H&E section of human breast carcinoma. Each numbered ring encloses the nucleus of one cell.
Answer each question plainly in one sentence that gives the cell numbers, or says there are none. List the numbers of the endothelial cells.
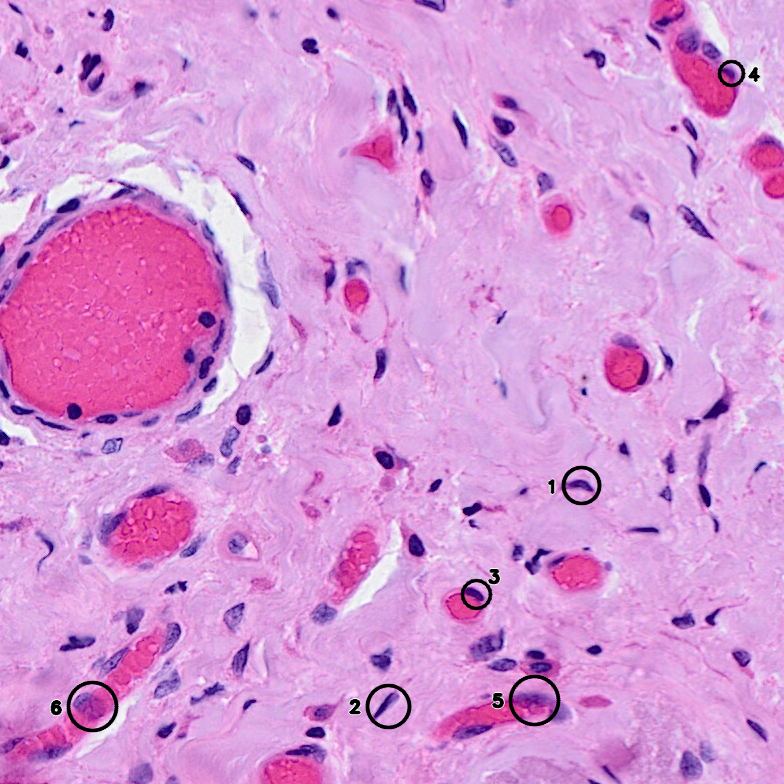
The identity of cells 3, 4, 5 and 6: they are endothelial cells.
